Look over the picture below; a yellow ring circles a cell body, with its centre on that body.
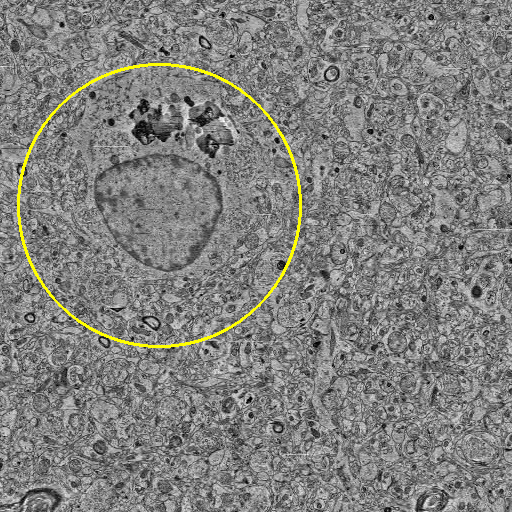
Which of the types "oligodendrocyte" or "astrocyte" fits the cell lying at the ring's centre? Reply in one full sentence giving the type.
The picture shows an astrocyte at the centre of the yellow ring.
